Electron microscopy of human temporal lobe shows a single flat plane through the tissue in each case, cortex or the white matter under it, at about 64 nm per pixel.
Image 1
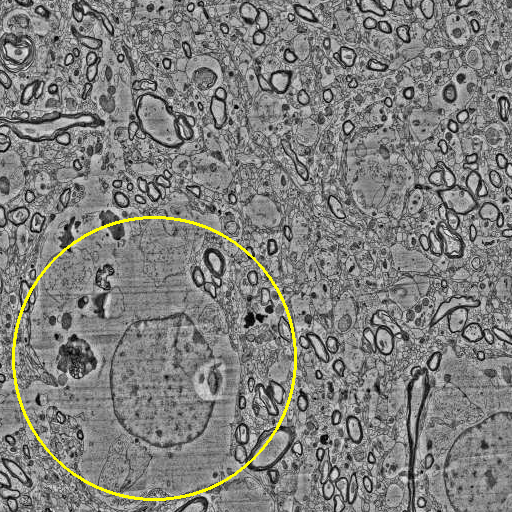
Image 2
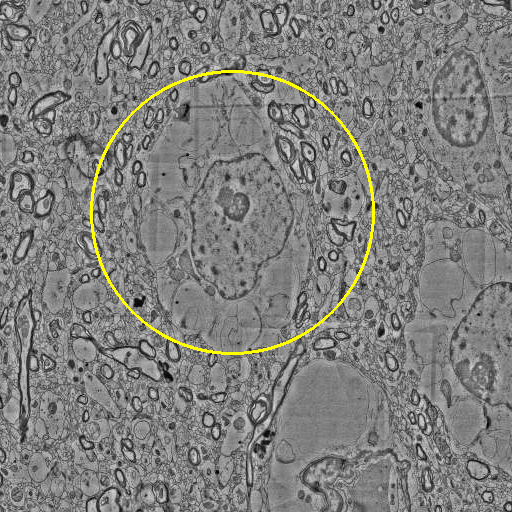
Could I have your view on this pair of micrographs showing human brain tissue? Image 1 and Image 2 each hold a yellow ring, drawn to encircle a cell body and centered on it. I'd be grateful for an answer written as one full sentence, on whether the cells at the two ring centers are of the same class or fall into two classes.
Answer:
The cells at the centers of the two rings are of the same class.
